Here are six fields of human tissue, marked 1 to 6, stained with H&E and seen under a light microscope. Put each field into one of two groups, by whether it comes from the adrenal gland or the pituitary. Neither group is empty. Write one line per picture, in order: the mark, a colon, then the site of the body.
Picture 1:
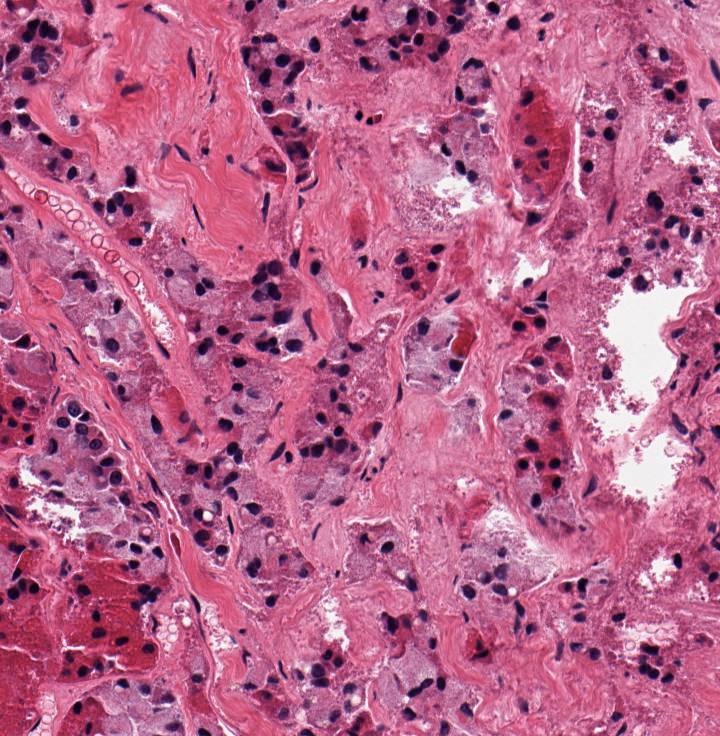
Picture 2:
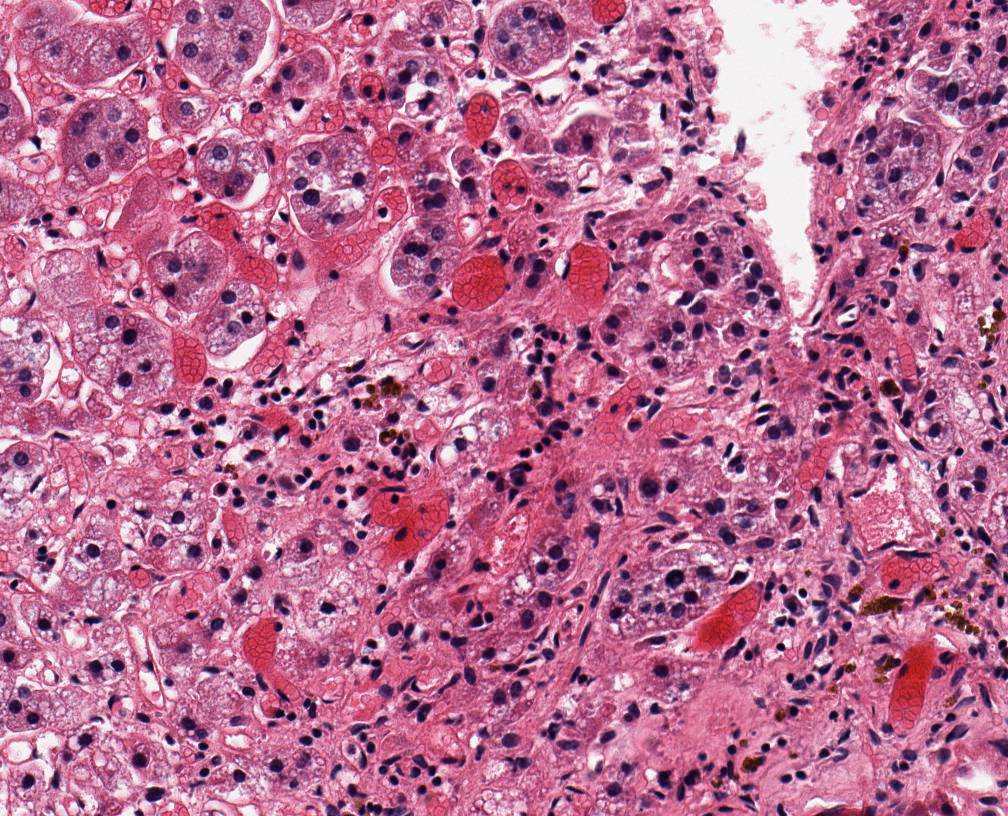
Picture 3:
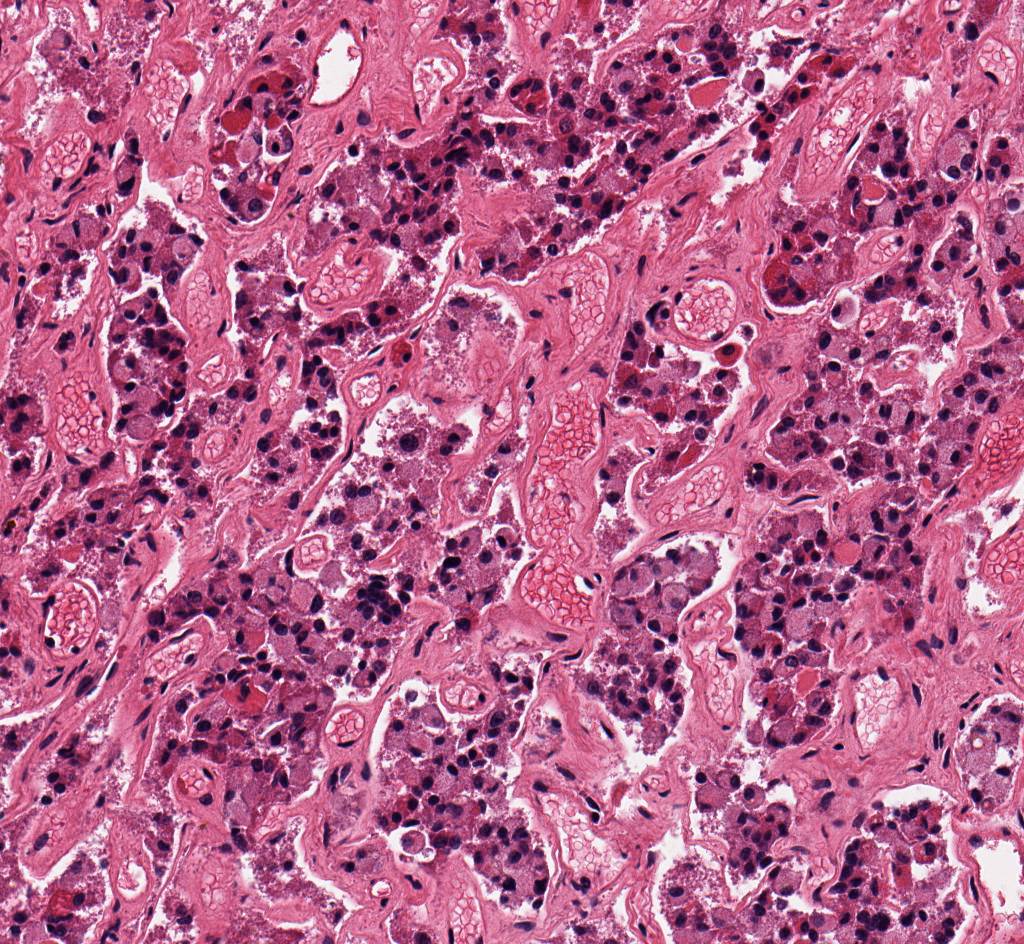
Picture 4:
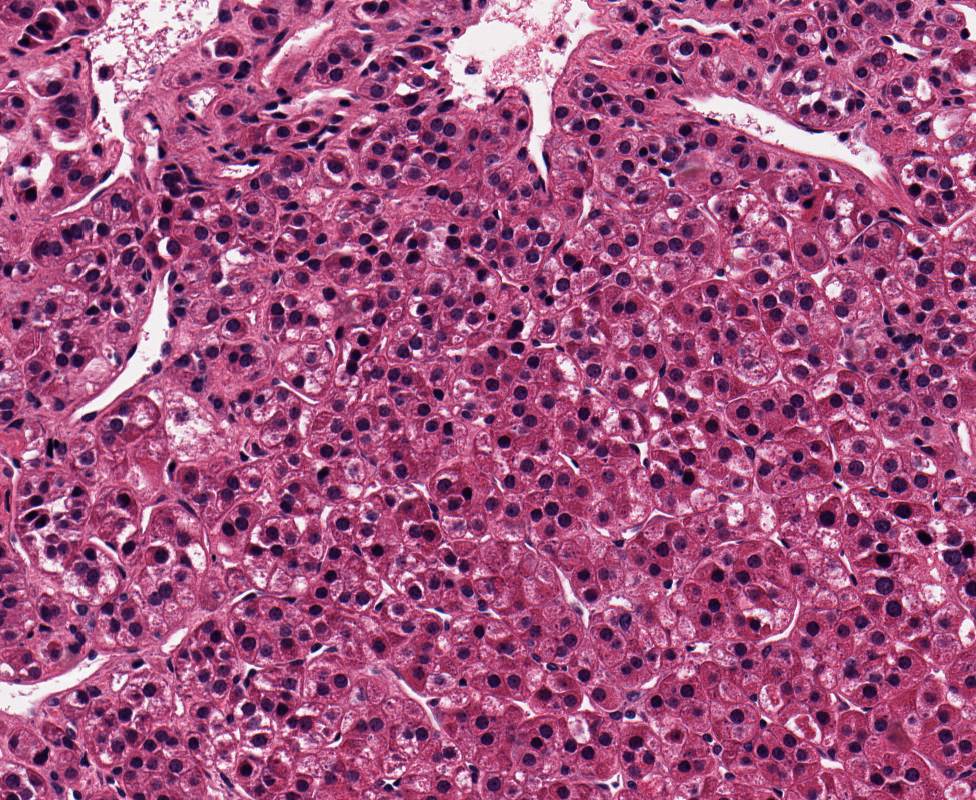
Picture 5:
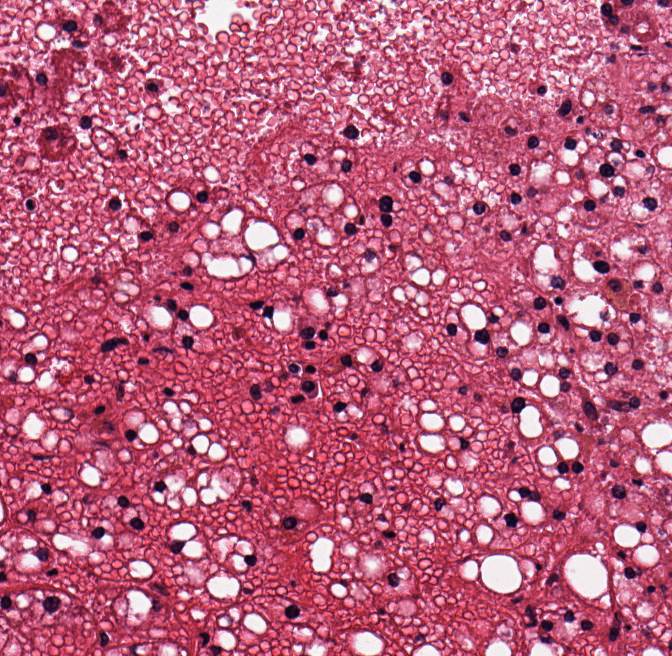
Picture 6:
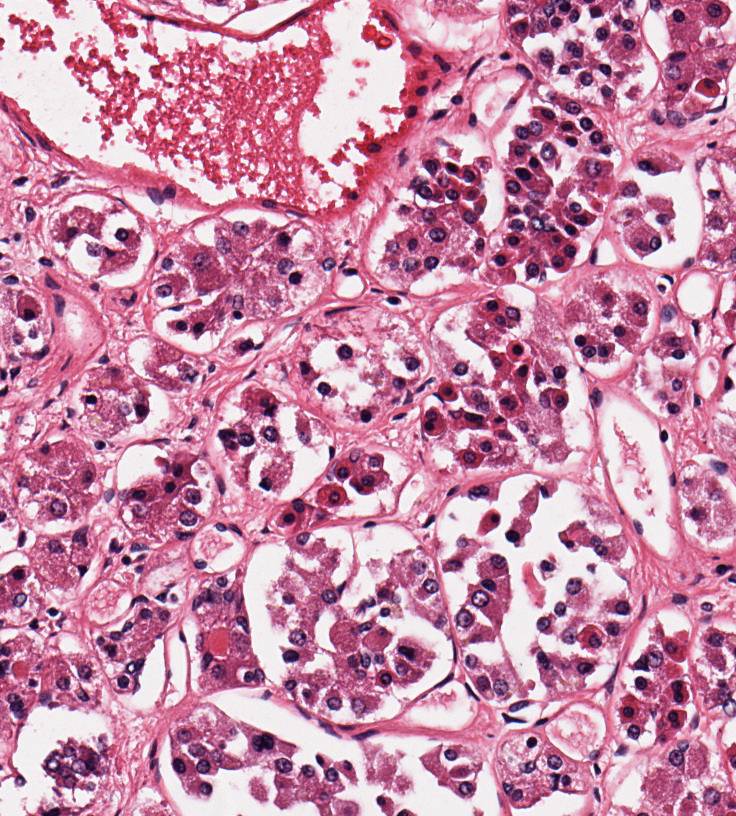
1: pituitary
2: adrenal gland
3: pituitary
4: adrenal gland
5: adrenal gland
6: pituitary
